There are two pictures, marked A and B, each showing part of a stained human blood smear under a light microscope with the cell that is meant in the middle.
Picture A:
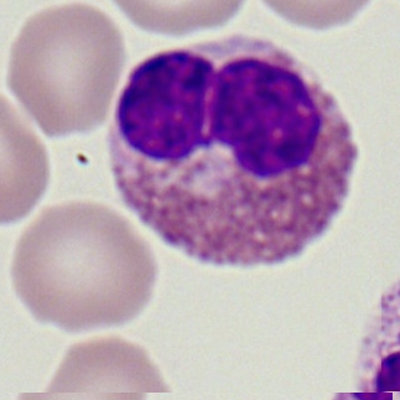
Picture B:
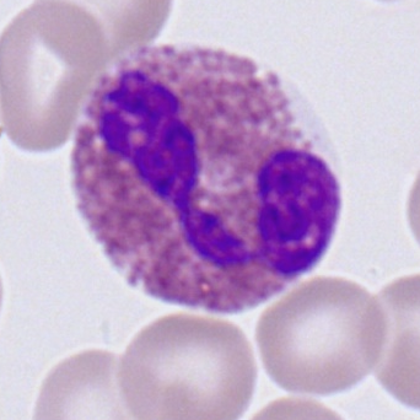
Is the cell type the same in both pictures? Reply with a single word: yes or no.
yes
